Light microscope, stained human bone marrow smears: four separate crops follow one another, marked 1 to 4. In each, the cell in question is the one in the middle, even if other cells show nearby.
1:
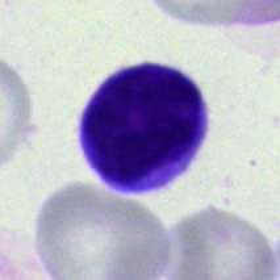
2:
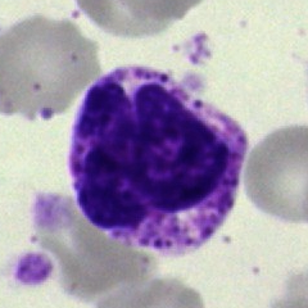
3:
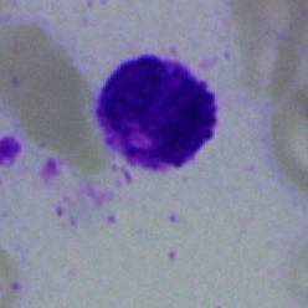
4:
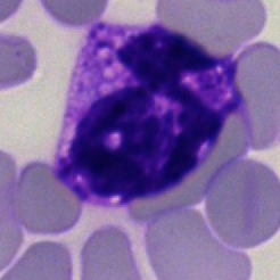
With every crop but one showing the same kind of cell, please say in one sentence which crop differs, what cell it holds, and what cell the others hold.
Crop 1 differs from the others in showing a lymphocyte; the rest all show basophils.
